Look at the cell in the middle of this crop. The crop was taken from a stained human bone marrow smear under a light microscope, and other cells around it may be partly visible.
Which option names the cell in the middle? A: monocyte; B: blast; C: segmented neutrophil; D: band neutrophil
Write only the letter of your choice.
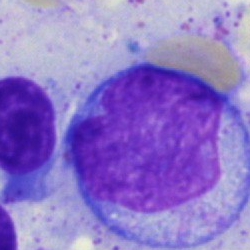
B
